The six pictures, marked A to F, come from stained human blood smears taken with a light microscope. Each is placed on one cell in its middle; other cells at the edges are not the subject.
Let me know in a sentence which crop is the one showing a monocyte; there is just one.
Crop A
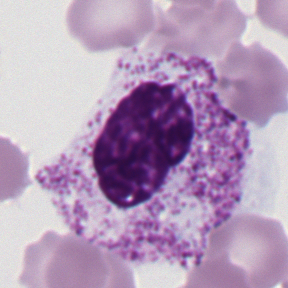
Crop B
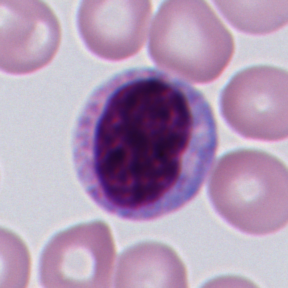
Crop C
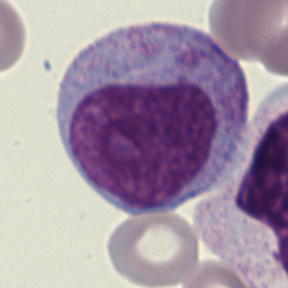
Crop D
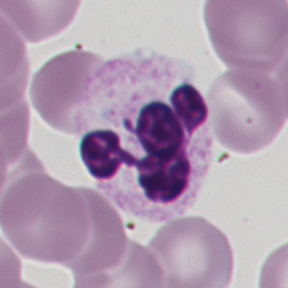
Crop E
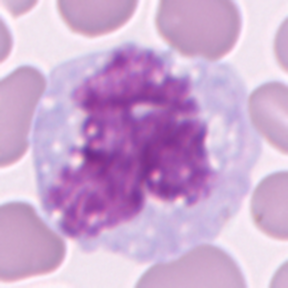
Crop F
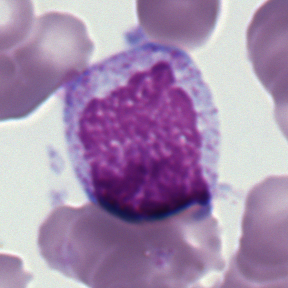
Crop E, of the crops presented, is the one showing a monocyte.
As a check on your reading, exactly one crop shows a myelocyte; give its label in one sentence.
The one showing a myelocyte is crop F.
